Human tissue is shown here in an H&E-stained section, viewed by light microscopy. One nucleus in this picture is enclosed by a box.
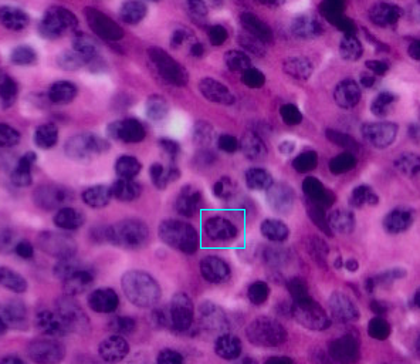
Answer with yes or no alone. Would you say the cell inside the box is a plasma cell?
yes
